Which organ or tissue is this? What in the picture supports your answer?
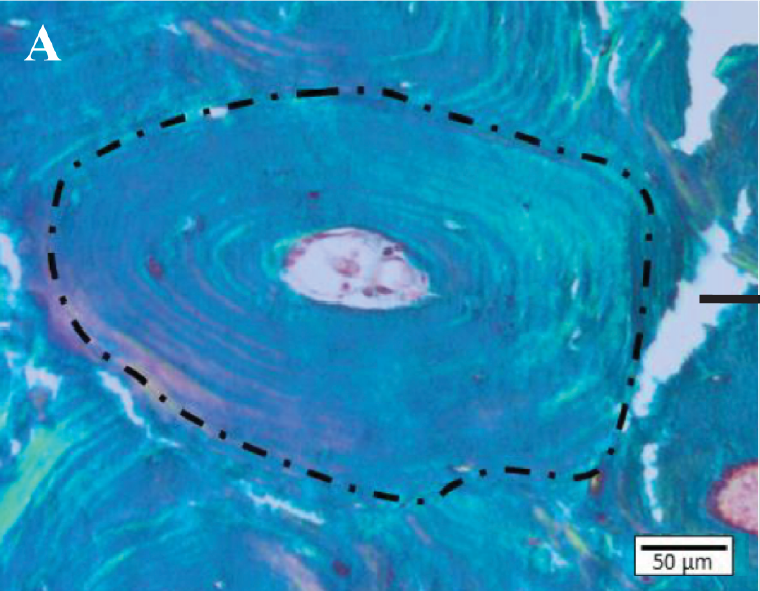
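Concentric rings of lamellae surround a small central canal. The blue-stained matrix is layered like an onion around the pale centre.
Answer: osteons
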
